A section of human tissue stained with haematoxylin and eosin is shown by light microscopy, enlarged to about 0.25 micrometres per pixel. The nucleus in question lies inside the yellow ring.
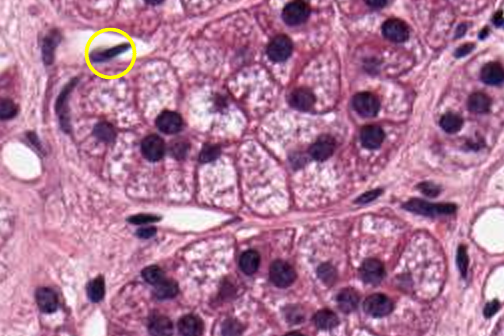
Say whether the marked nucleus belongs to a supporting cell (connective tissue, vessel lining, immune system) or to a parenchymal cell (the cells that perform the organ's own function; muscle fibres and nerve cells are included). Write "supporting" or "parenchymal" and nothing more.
supporting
